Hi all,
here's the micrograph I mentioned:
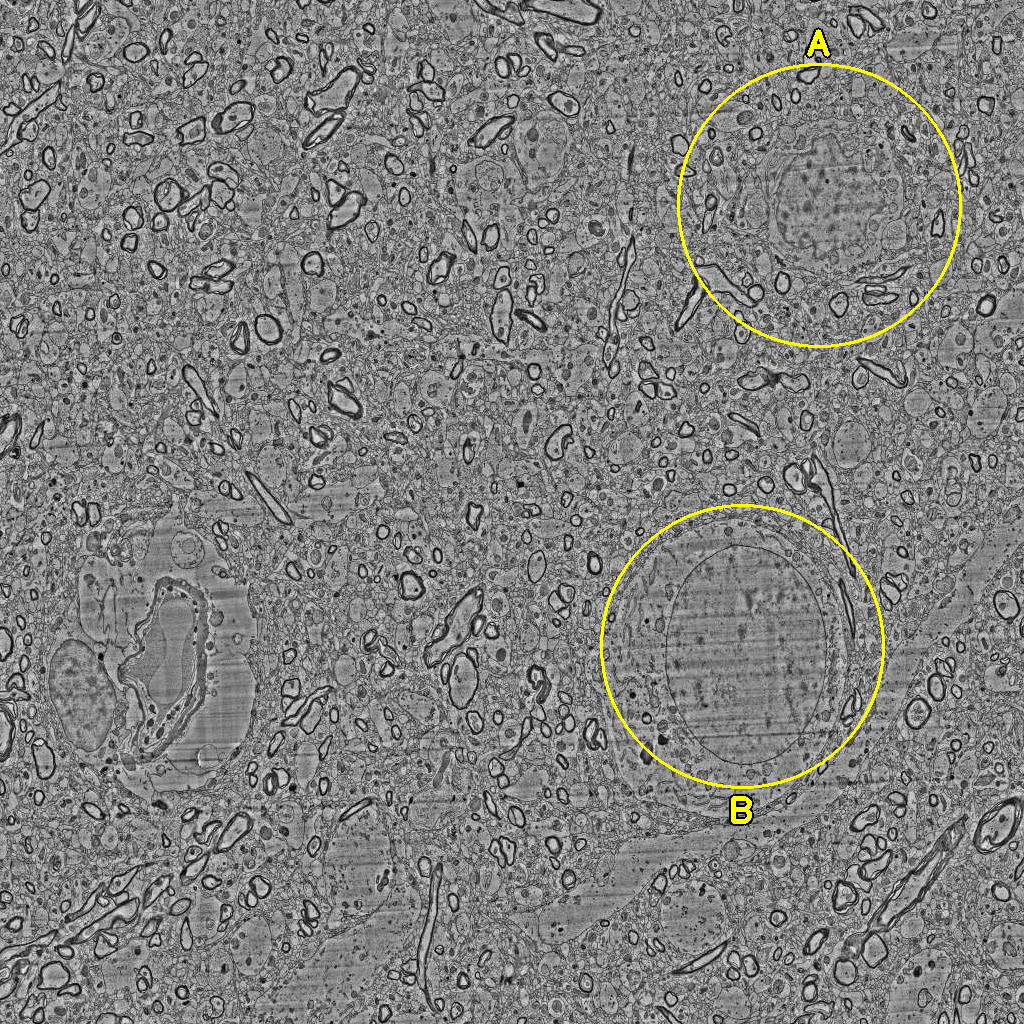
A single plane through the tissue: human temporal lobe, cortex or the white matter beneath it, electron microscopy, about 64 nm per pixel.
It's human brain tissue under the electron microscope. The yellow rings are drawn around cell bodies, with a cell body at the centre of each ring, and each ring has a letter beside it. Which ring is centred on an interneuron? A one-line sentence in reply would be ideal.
It's the one labelled A.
